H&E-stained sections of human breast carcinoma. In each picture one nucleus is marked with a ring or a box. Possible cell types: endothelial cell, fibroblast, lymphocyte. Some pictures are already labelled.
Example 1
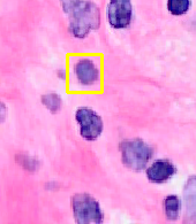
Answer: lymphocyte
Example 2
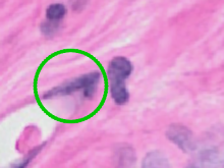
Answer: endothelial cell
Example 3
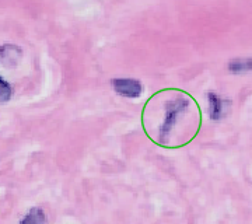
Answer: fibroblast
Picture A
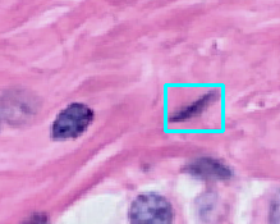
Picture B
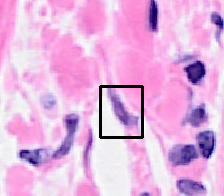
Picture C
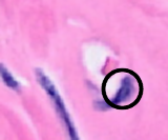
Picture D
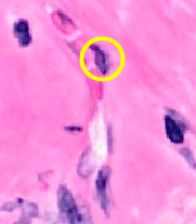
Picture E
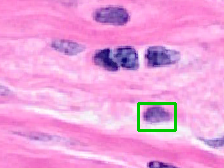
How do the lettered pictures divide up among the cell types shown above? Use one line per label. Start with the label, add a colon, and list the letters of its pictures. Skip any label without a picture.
endothelial cell: C, D
fibroblast: A, B
lymphocyte: E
